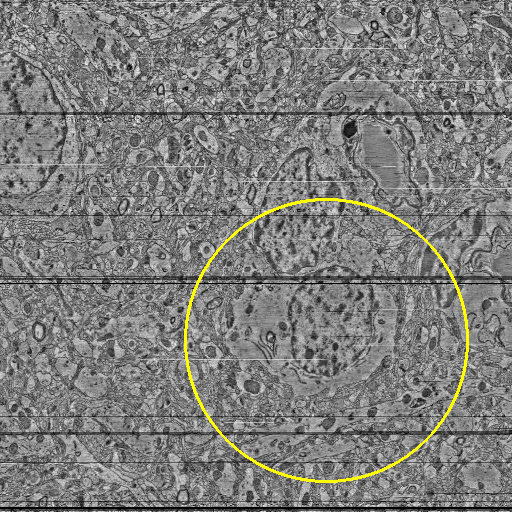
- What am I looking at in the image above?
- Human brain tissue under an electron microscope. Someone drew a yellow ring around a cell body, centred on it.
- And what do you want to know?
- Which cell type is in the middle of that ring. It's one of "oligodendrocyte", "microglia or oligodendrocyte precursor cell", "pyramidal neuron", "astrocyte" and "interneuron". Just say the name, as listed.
astrocyte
